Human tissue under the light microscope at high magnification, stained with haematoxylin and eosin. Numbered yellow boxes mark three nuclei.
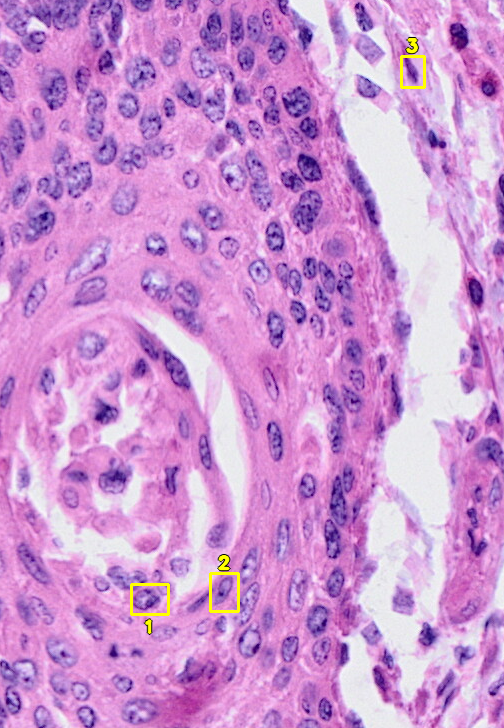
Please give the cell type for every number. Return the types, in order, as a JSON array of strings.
["squamous carcinoma cell", "squamous carcinoma cell", "fibroblast"]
